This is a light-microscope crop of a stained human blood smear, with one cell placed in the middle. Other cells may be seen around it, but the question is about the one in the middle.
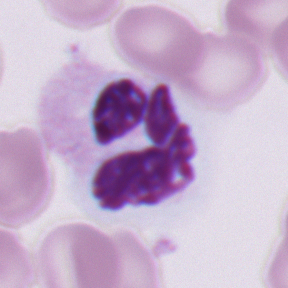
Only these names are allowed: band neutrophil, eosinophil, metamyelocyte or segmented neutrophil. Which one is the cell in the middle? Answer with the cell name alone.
segmented neutrophil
